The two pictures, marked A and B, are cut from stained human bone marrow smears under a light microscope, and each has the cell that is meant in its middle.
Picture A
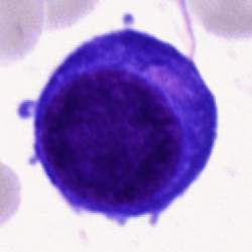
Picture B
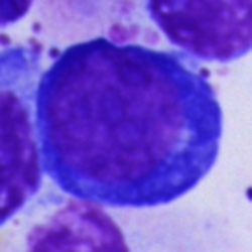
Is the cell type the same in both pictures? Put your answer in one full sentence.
No, the types are not the same, since picture A shows a plasma cell and picture B a proerythroblast.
